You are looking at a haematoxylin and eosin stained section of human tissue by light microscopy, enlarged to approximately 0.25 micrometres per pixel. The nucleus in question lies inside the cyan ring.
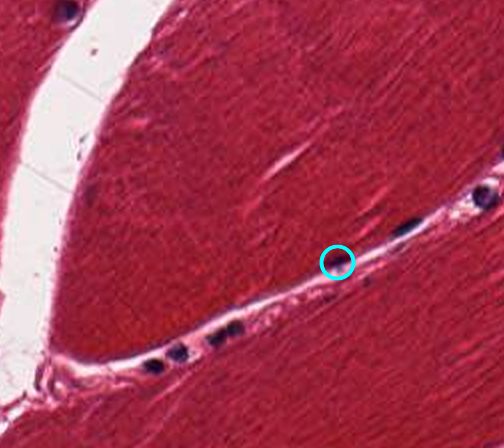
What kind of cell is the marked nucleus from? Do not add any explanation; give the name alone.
skeletal muscle fibre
